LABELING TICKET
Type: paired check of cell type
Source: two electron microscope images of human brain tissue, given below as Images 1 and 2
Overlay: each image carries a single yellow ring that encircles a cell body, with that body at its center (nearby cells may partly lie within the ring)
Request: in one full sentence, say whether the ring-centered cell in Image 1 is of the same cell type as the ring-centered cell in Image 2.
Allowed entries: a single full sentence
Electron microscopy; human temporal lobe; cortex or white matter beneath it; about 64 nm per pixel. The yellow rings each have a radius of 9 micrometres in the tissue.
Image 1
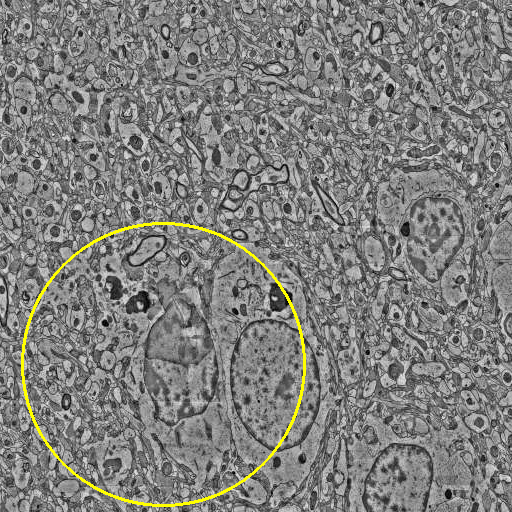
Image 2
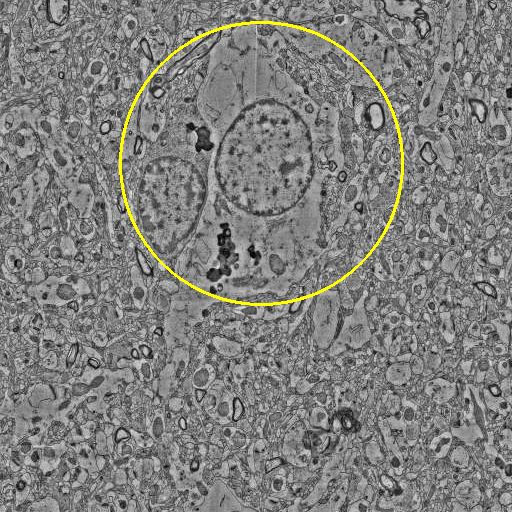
Yes, the cells centered in the rings of Image 1 and Image 2 share one type.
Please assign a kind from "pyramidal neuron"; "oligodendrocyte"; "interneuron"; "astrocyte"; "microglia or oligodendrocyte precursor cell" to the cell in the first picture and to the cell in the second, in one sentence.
In both pictures the ring is centred on an astrocyte.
